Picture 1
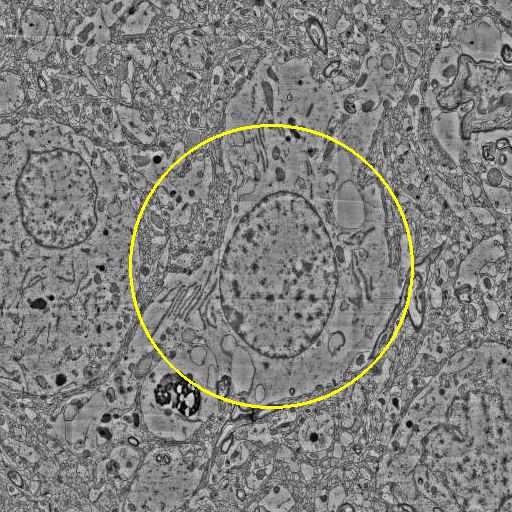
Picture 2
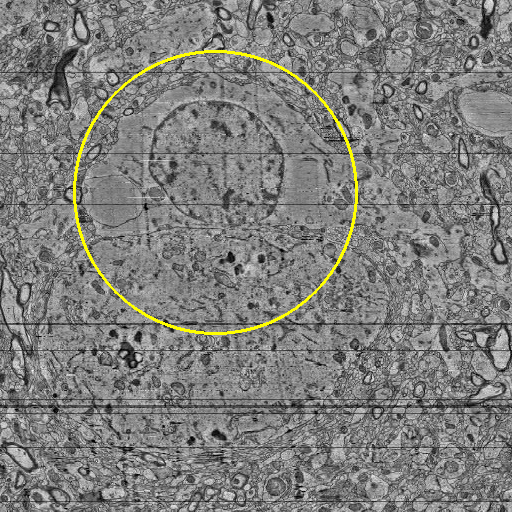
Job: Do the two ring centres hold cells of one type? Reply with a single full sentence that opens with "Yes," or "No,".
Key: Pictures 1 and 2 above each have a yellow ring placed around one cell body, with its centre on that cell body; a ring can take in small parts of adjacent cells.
Yes, the cells at the two ring centres are of one single type.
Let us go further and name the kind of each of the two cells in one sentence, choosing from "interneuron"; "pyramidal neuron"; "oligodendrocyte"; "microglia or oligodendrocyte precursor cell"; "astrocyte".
The cell in the first picture is an astrocyte, and so is the one in the second.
